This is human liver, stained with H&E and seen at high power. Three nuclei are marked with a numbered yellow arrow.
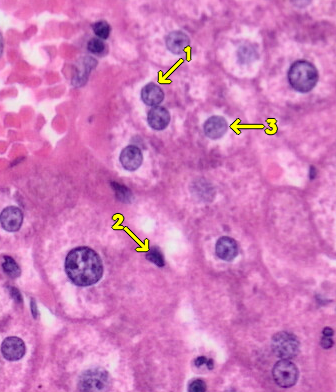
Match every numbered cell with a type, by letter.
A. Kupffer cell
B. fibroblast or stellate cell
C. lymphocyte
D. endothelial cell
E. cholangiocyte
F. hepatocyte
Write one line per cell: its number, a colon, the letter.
1: F
2: B
3: F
